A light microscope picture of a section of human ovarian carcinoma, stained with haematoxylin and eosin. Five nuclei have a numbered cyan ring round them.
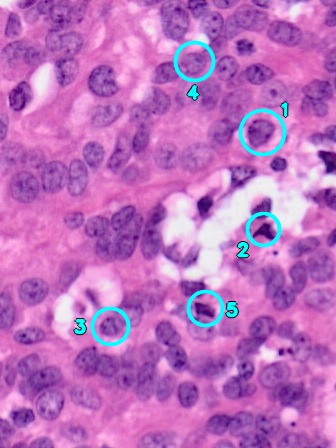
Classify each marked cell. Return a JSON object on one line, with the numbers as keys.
{"1": "carcinoma cell", "2": "macrophage or monocyte", "3": "macrophage or monocyte", "4": "carcinoma cell", "5": "carcinoma cell"}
